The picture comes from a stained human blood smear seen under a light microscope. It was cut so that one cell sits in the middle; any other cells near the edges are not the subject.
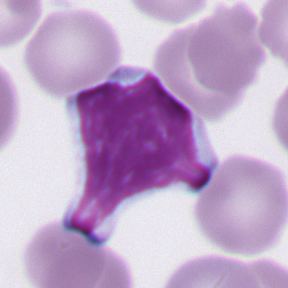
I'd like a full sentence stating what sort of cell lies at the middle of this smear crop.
In the crop, the cell of interest at the centre is a typical lymphocyte.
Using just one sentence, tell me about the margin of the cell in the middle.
The cell membrane follows an uneven contour, either ragged or bearing projections.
